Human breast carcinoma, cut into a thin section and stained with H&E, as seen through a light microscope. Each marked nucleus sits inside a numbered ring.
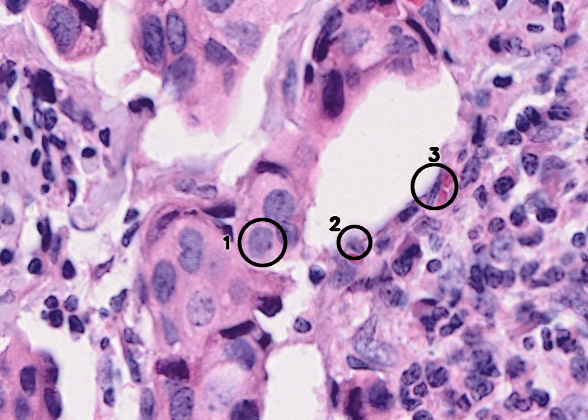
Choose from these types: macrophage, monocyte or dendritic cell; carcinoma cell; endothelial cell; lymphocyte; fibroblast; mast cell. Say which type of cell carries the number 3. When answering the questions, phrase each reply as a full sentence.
Here, the cell given the number 3 is an endothelial cell.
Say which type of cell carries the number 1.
Cell 1 is classified as a carcinoma cell.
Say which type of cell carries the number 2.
The cell whose nucleus carries the number 2 is an endothelial cell.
